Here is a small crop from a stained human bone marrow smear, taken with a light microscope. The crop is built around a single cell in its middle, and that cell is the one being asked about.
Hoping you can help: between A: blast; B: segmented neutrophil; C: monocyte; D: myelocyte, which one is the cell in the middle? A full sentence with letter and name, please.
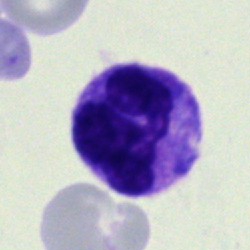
Option C, which names the central cell as a monocyte, is correct.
